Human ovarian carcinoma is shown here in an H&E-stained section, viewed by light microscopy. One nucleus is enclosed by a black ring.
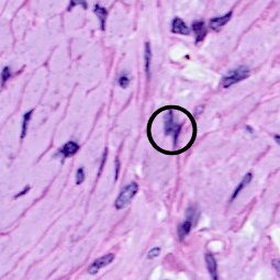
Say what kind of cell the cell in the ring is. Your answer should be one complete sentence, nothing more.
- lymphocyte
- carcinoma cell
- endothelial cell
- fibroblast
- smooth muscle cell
Just put down that the cell in the ring is a fibroblast.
